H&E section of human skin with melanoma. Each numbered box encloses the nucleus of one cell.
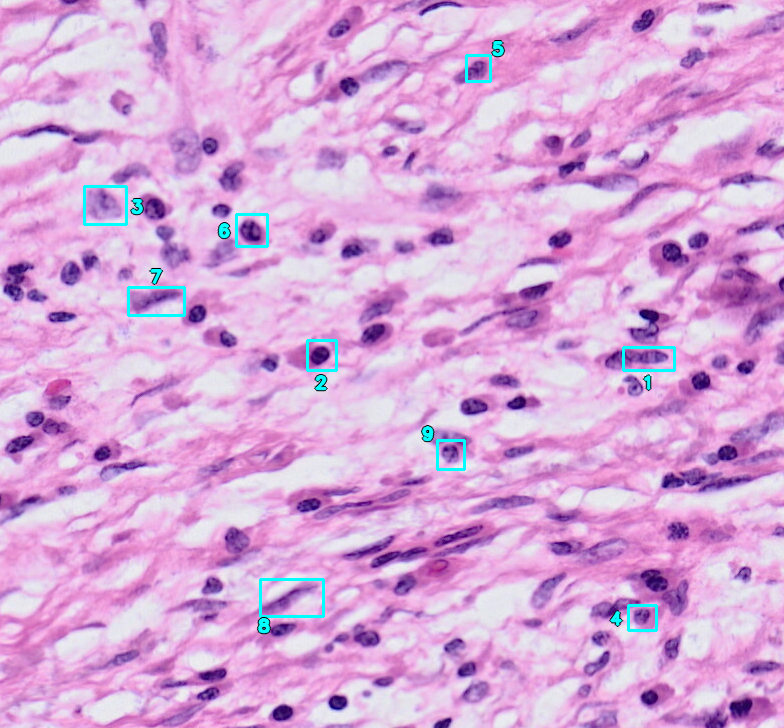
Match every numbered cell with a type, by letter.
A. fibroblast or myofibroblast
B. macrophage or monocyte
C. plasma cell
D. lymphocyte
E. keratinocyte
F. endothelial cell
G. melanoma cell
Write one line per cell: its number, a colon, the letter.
1: B
2: C
3: A
4: C
5: B
6: C
7: A
8: A
9: C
